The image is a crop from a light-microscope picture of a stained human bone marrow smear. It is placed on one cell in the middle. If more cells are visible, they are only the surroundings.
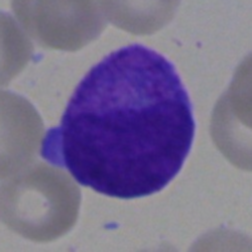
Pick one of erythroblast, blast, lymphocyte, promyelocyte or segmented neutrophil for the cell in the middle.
blast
